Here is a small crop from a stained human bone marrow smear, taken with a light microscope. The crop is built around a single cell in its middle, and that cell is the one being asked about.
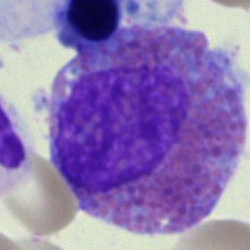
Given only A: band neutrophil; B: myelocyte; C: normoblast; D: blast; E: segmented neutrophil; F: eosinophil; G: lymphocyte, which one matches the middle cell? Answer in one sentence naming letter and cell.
Option F stands as correct, the central cell being an eosinophil.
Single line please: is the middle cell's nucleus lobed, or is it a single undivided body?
What stands out is a nucleus forming one compact round, oval or kidney-shaped mass.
